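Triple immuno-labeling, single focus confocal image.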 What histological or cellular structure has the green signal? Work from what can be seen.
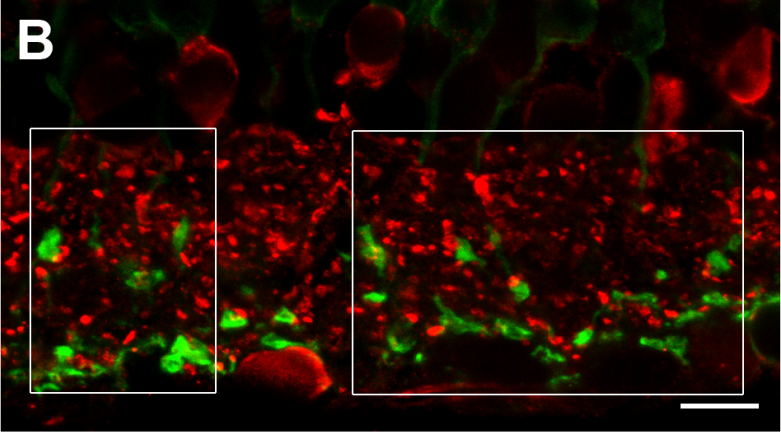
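Axon terminals. Green bulbous swellings cluster toward the bottom of the layer. Thin green fibres descend from the top through the layer to these swellings.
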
